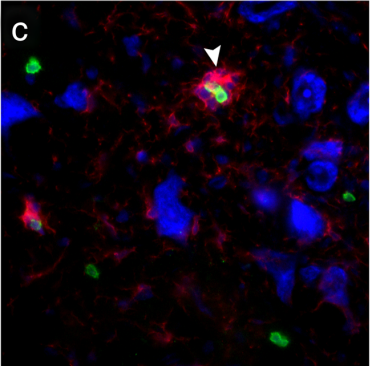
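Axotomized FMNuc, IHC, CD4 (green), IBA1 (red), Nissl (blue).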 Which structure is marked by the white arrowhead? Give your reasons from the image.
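A dense cluster of red branched processes sits at the arrowhead. A small green-rimmed round cell lies within the red cluster. On this evidence: microglial nodules.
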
